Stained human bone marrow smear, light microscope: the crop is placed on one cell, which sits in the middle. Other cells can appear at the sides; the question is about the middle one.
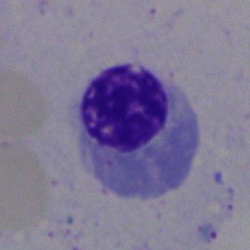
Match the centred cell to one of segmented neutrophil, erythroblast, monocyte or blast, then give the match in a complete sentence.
At the center of the crop sits an erythroblast.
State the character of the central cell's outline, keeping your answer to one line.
There are no projections here; the outline is simply smooth.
